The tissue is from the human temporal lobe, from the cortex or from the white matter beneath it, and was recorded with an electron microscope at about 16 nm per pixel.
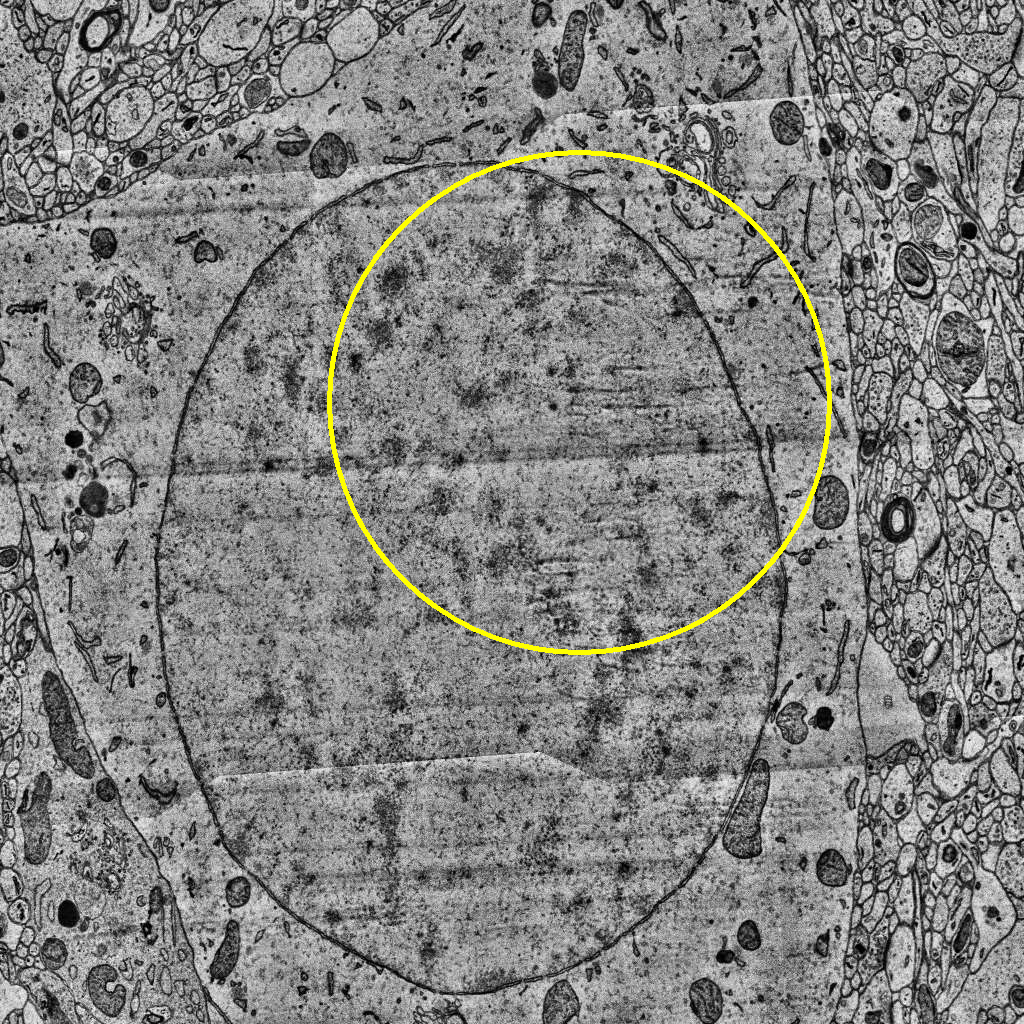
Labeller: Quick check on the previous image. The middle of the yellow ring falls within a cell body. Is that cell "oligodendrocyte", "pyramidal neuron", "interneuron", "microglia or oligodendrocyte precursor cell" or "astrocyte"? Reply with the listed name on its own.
pyramidal neuron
